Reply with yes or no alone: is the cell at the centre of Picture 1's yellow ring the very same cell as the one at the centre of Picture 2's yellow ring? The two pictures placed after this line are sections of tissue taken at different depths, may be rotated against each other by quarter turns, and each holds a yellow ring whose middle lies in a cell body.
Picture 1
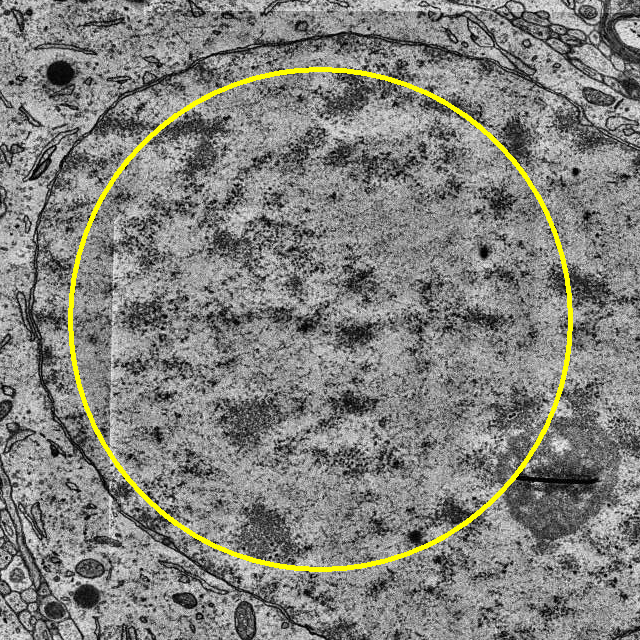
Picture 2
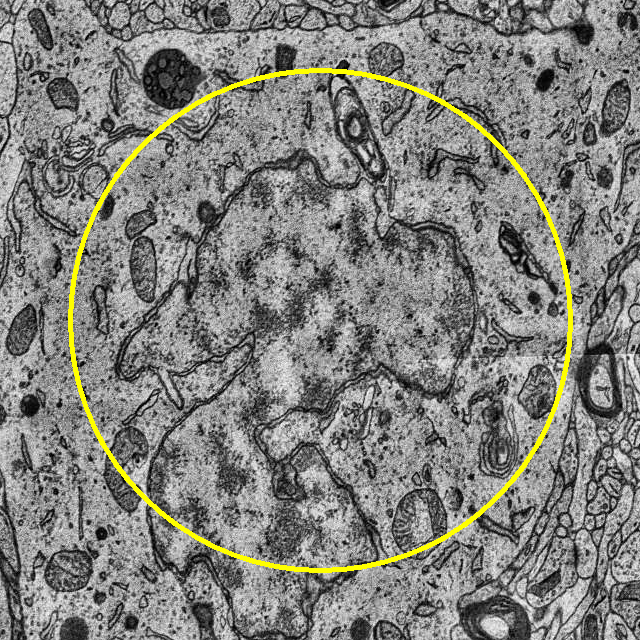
yes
